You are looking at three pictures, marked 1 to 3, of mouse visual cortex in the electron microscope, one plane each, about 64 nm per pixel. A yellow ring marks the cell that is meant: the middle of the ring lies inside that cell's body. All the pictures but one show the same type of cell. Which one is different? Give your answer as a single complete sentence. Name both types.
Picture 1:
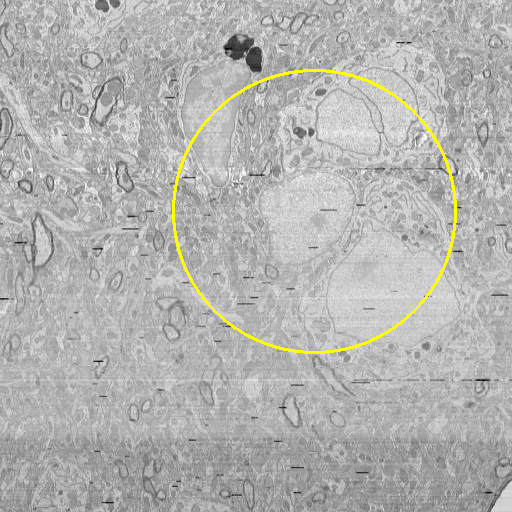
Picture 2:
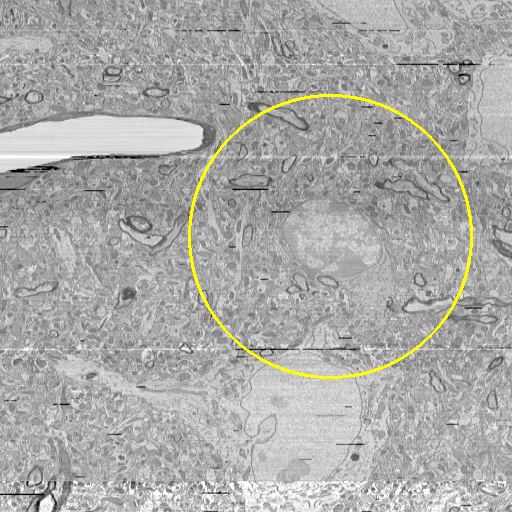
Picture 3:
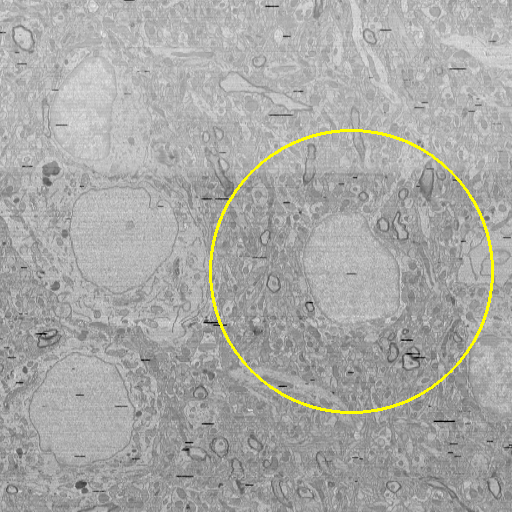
Picture 2 is the odd one out: it shows an oligodendrocyte, while the others show astrocytes.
